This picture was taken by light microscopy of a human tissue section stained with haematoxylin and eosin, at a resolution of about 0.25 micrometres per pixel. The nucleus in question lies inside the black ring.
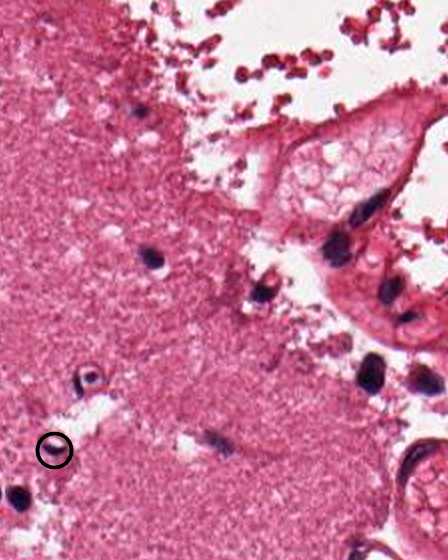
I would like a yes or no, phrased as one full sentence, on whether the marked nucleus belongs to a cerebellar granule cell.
No, the marked nucleus is not from a cerebellar granule cell; a supporting cell is its source.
